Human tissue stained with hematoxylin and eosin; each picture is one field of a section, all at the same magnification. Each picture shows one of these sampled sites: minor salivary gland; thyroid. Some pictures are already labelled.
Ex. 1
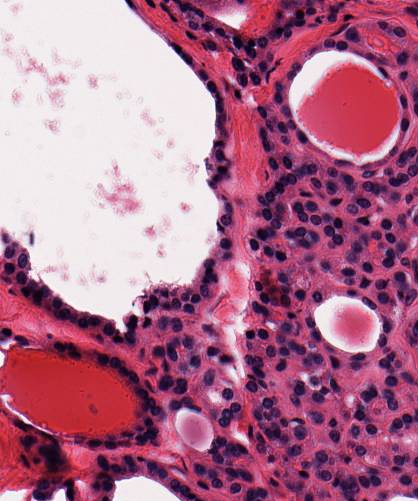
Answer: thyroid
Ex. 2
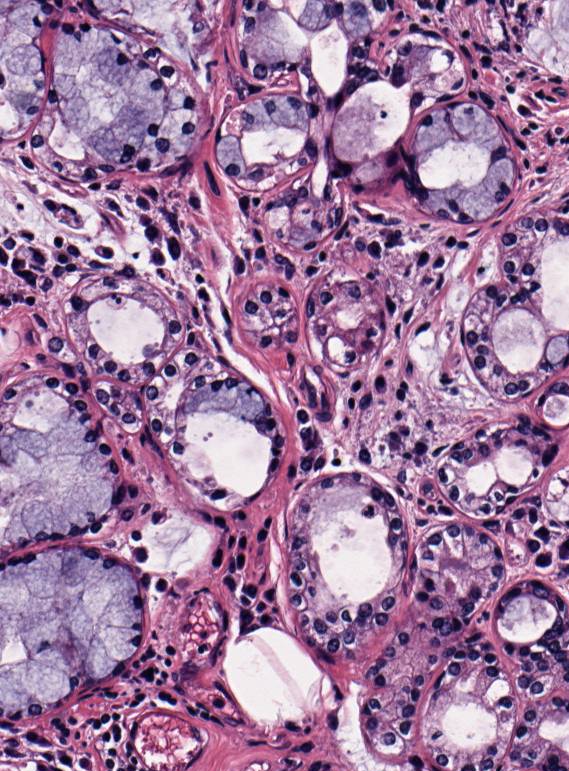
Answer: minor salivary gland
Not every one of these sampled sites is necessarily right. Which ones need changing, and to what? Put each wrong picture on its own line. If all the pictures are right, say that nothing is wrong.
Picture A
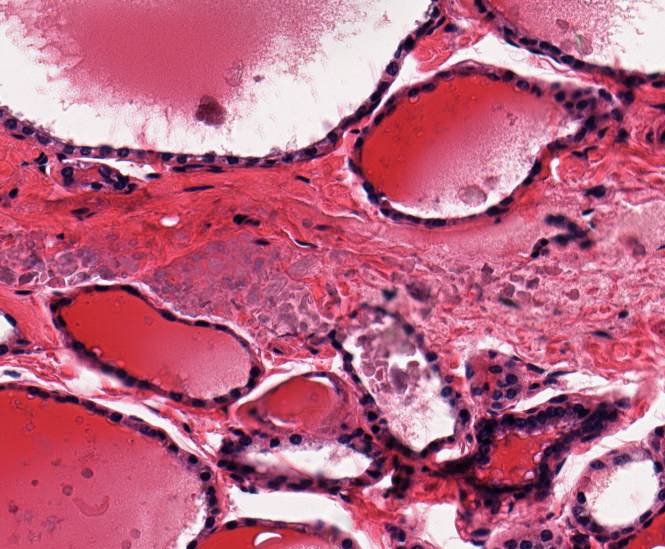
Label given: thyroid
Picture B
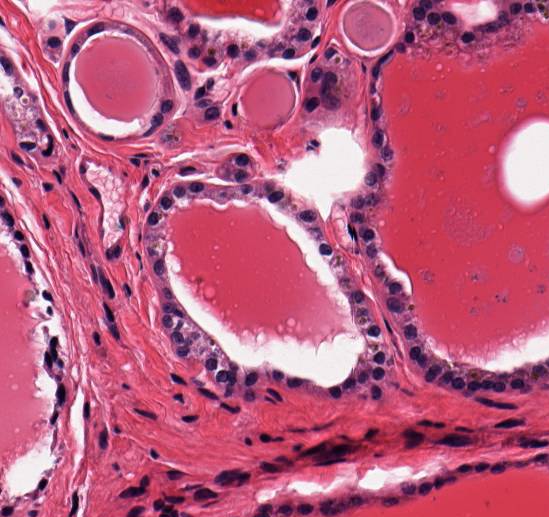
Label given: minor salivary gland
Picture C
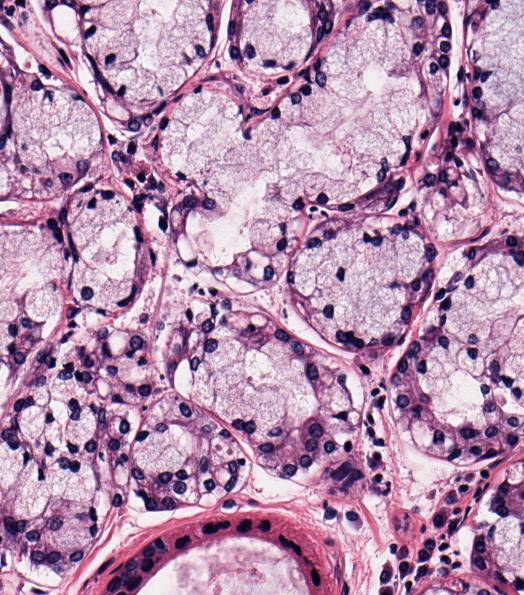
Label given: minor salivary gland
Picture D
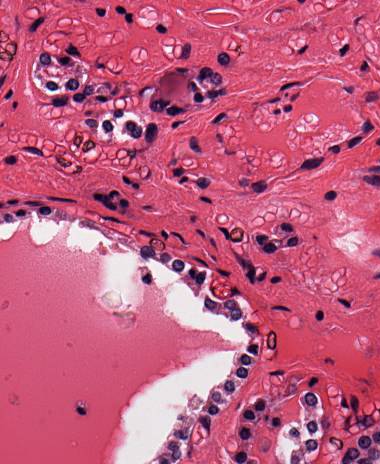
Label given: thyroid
B: thyroid, not minor salivary gland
